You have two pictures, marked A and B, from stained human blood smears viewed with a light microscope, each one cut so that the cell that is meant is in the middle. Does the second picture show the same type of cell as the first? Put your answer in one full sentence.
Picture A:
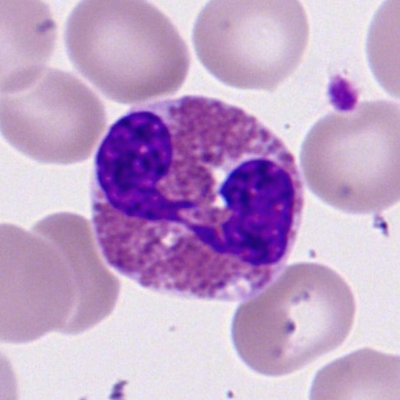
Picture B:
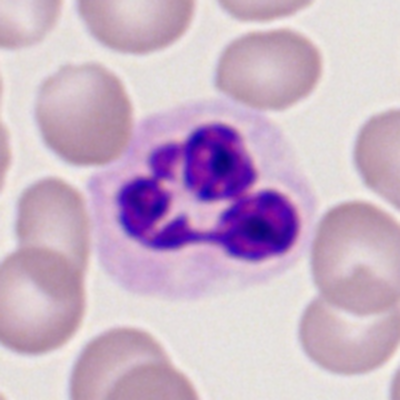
No, the types are not the same, since picture A shows an eosinophil and picture B a segmented neutrophil.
